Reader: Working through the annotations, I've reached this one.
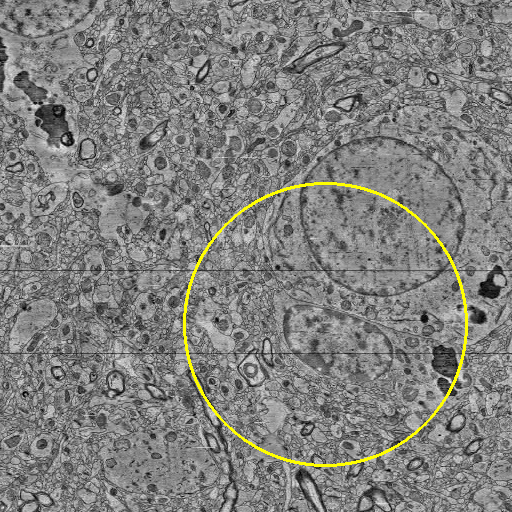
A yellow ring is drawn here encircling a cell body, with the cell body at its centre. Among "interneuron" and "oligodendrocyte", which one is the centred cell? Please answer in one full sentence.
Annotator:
The cell body at the centre of the yellow ring in this image belongs to an oligodendrocyte.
